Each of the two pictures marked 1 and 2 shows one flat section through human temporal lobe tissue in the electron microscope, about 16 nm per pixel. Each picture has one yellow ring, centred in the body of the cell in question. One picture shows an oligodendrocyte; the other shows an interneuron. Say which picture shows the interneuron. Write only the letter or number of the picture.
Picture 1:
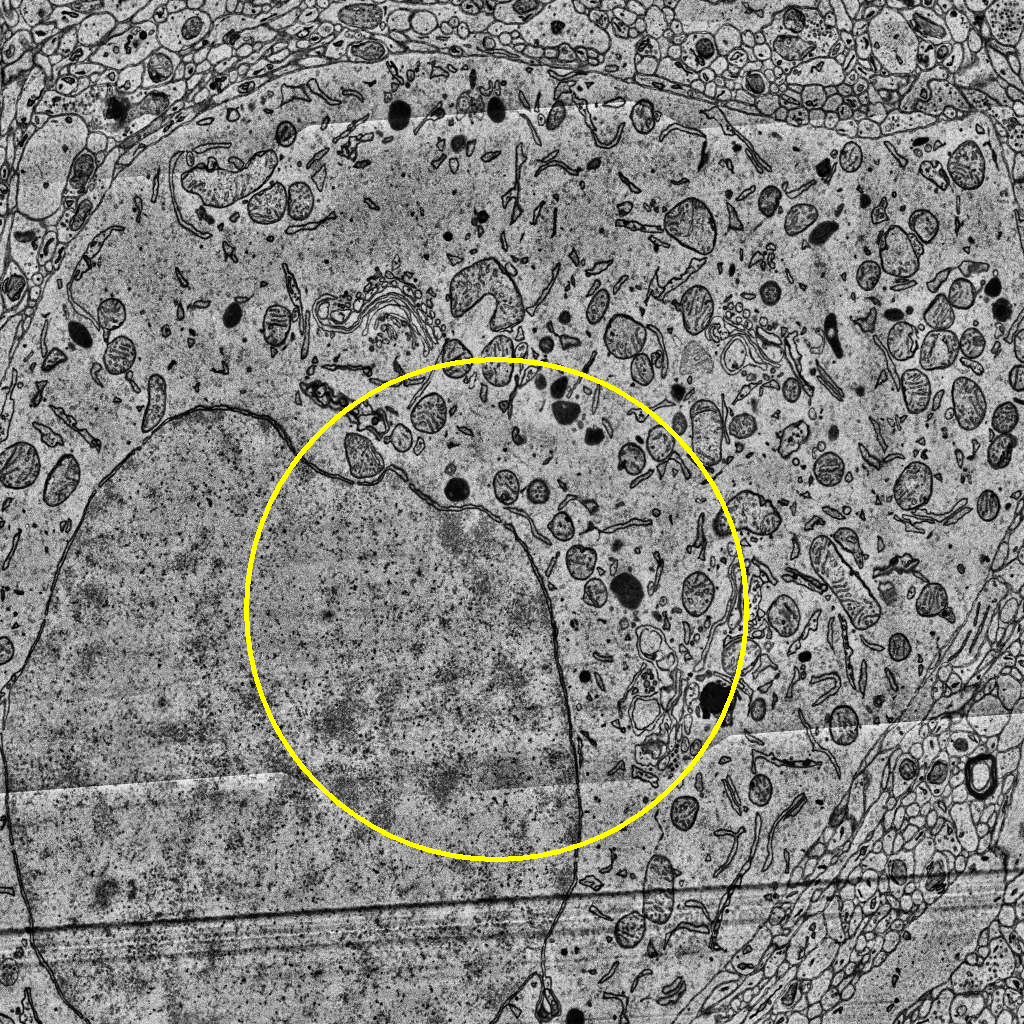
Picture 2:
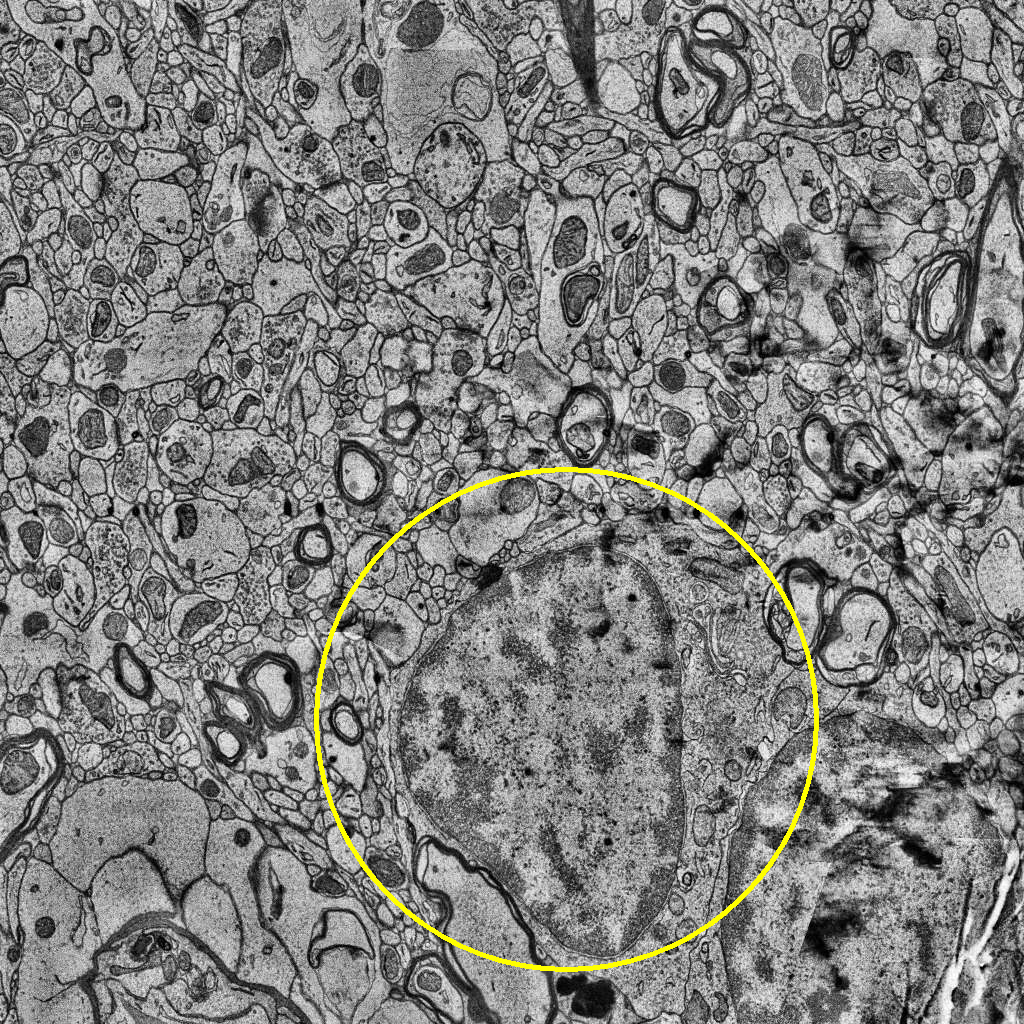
1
